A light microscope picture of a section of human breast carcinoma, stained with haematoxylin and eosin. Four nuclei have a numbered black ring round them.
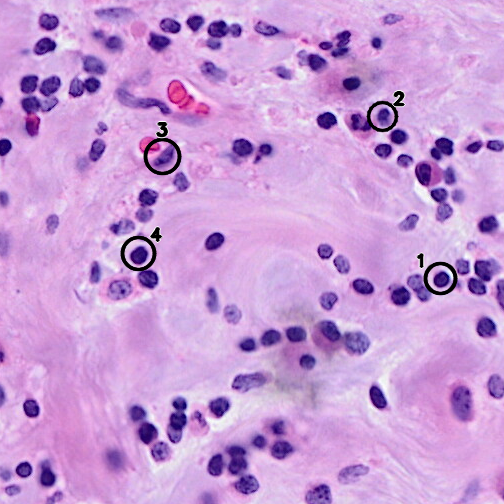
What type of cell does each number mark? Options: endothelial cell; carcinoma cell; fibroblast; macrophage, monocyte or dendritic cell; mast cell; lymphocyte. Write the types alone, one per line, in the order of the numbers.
lymphocyte
lymphocyte
endothelial cell
lymphocyte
